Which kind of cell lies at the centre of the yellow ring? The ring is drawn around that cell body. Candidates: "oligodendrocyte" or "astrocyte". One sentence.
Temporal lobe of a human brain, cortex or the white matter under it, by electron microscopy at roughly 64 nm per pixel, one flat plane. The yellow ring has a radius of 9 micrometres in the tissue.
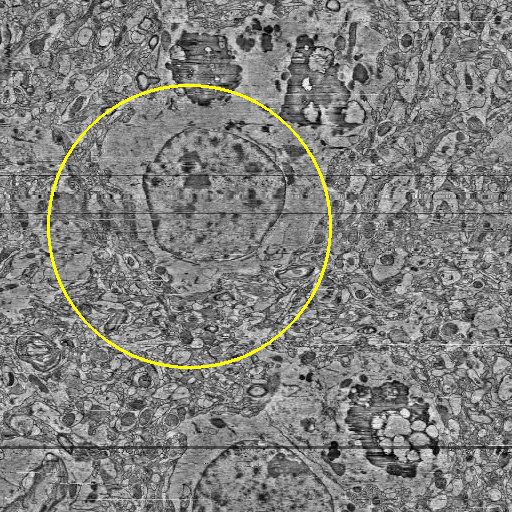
Lying at the centre of the ring is an astrocyte.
